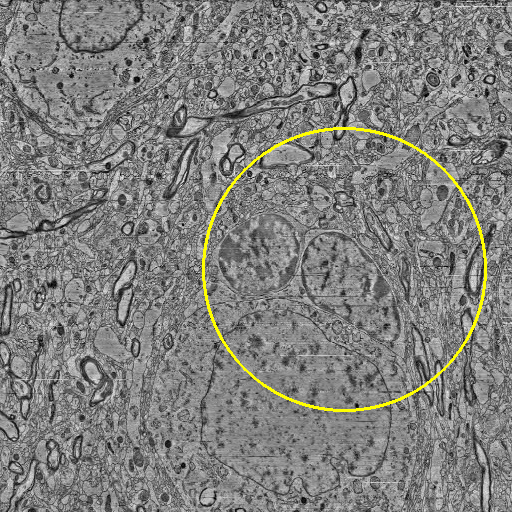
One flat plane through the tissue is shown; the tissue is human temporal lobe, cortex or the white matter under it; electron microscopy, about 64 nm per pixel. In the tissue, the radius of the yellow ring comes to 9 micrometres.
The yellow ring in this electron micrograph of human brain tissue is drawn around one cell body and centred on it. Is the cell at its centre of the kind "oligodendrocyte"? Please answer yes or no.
no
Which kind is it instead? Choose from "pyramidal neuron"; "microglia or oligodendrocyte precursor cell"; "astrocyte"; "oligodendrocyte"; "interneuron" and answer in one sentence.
That cell in the ring is a microglial cell or oligodendrocyte precursor cell instead.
